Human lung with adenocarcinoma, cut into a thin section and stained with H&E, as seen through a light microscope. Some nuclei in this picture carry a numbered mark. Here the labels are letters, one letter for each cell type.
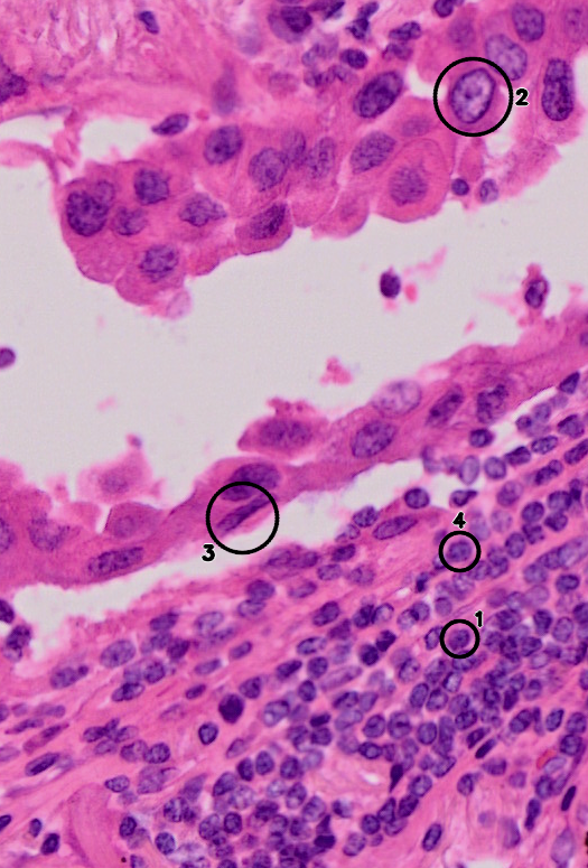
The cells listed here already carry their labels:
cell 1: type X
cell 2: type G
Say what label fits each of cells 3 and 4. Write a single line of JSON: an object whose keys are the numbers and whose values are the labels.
{"3": "type G", "4": "type X"}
